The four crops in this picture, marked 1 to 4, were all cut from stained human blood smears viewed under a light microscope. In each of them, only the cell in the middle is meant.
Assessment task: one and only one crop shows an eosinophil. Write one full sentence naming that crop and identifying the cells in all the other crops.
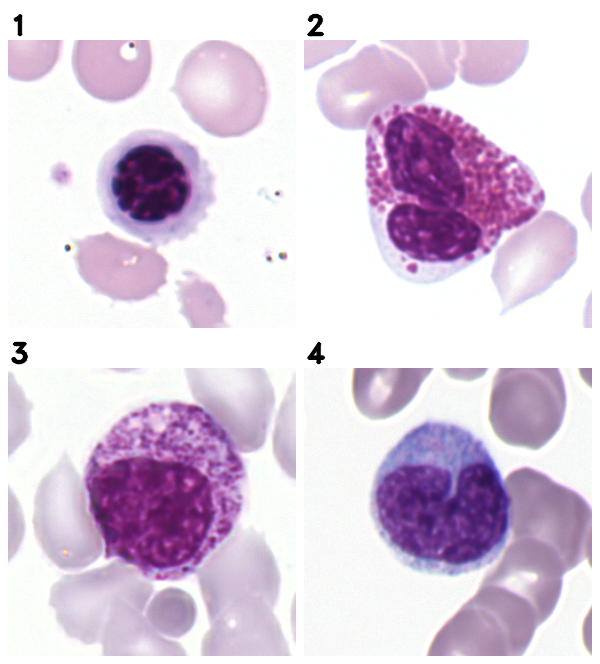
The central cell in crop 2 is an eosinophil, whereas crop 1 is an erythroblast, crop 3 is a myelocyte and crop 4 is a monocyte.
